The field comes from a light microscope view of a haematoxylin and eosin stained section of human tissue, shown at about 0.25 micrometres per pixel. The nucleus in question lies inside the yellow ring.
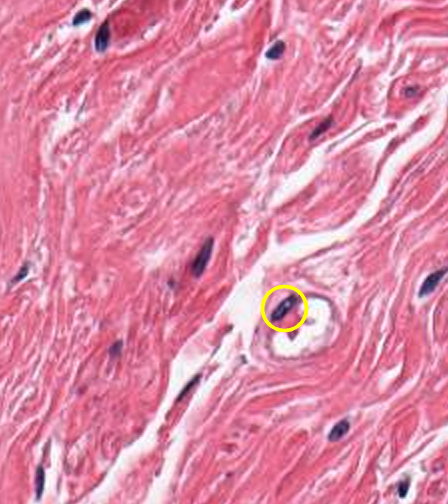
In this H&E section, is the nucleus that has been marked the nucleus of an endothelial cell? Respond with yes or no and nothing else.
yes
